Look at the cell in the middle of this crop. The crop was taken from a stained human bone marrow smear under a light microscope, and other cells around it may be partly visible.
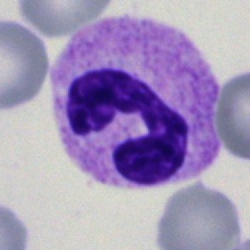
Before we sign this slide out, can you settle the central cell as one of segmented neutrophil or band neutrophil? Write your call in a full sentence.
The cell around which this crop is centred is a segmented neutrophil.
